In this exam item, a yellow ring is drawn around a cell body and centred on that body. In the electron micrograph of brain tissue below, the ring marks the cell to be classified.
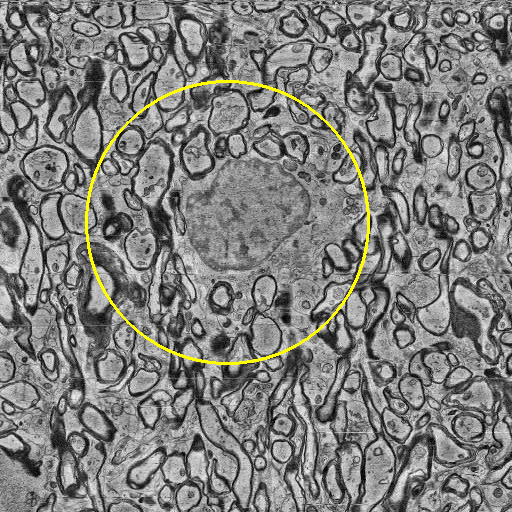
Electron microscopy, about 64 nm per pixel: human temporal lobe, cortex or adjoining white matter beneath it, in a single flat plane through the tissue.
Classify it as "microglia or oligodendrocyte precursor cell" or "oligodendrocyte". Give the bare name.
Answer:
oligodendrocyte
